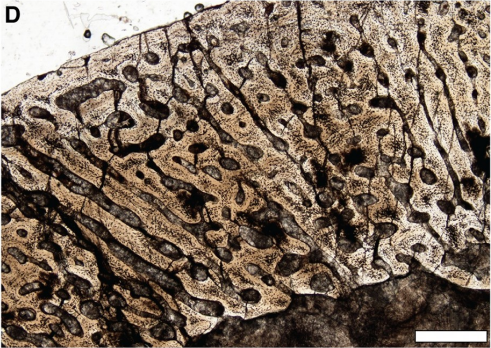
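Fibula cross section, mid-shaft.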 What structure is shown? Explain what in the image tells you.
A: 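Some canals are round in cross section. Many canals are elongated and run perpendicular to the outer surface. Numerous small dark dots are scattered through the bone matrix. That points to this answer: longitudinally and radially oriented primary osteons.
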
